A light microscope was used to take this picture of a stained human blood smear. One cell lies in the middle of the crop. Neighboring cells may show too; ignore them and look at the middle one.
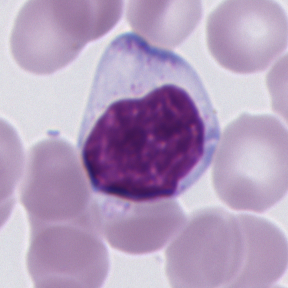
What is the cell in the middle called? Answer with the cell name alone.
large granular lymphocyte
